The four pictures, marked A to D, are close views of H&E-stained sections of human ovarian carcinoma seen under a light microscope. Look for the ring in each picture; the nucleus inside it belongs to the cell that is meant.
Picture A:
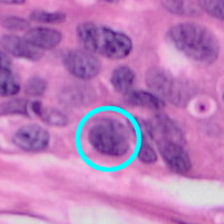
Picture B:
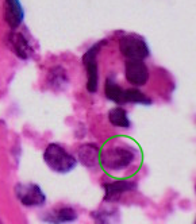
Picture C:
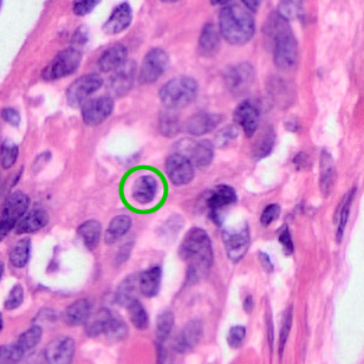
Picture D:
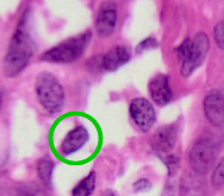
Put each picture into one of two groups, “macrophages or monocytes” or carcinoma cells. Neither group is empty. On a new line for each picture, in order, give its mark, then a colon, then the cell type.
A: carcinoma cell
B: carcinoma cell
C: macrophage or monocyte
D: carcinoma cell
